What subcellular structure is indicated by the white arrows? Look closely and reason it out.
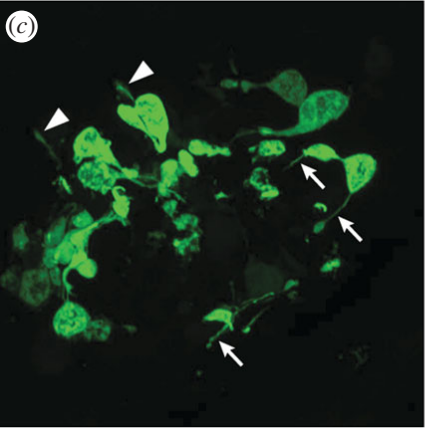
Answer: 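Thin green strands run out from rounded green cell bodies. The arrows point at these thin strands, not at the cell bodies.
Conclusion: processes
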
